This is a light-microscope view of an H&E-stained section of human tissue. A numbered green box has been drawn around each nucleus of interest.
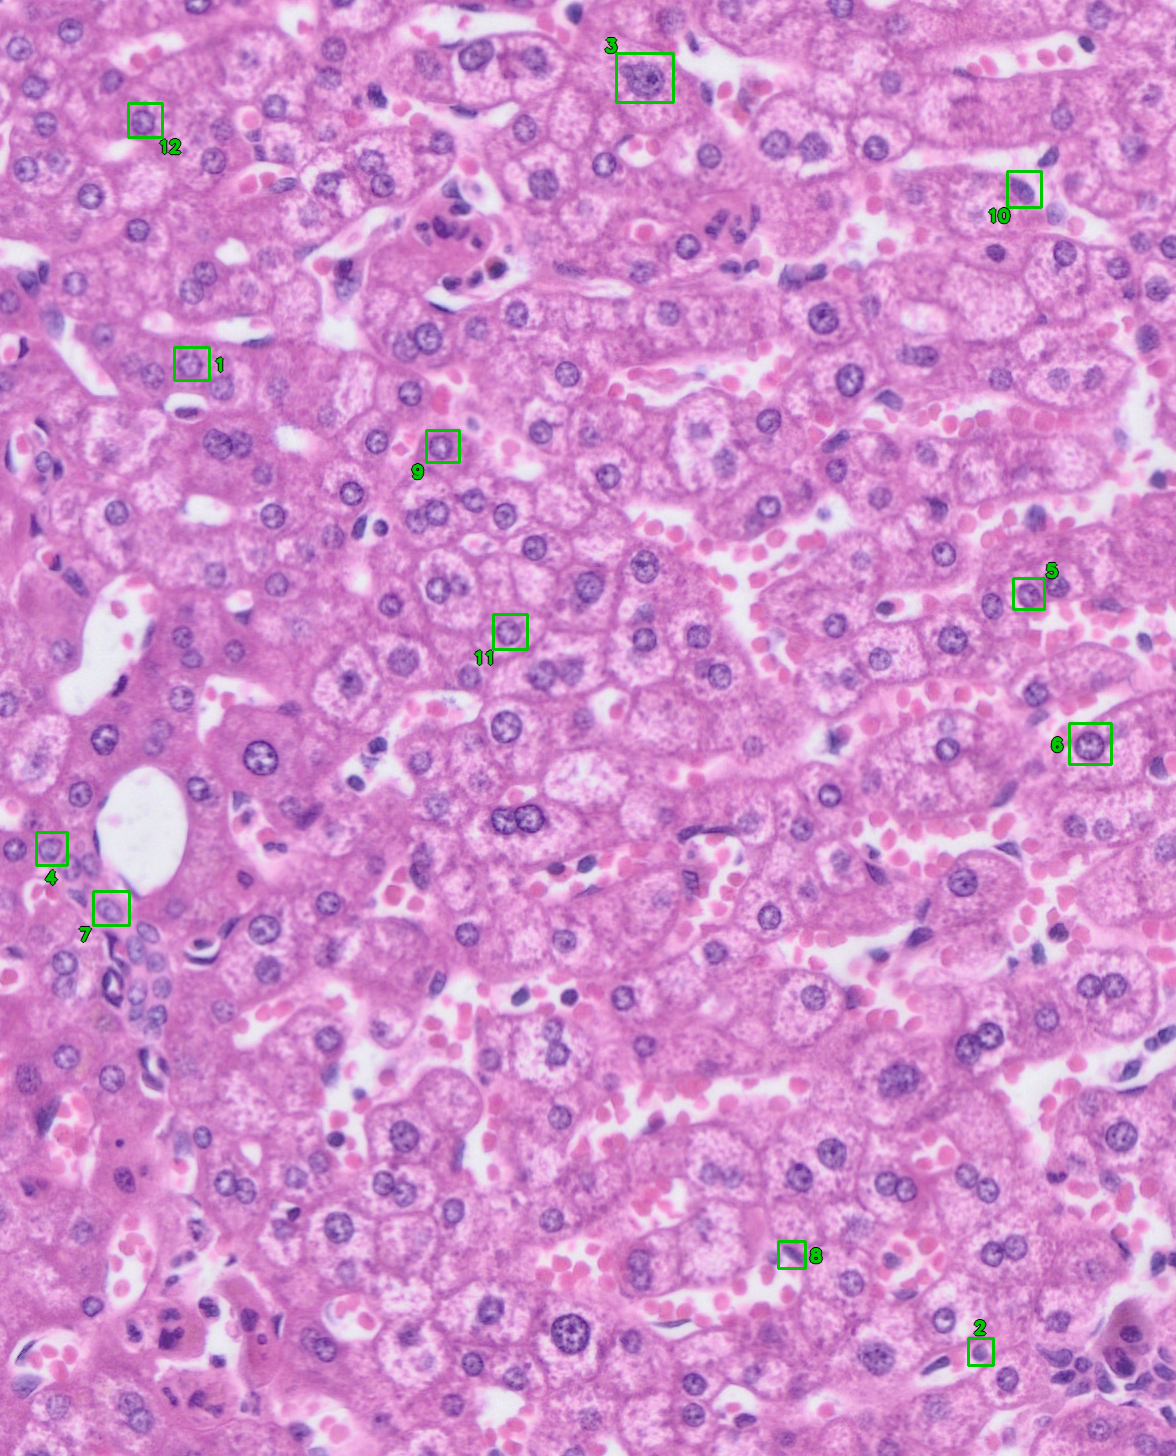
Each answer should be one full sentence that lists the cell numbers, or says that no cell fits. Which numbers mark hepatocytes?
Cells numbered 1, 3, 5, 6, 9, 11 and 12 belong to the group of hepatocytes.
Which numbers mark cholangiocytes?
The cells which carry the numbers 4 and 7 are cholangiocytes.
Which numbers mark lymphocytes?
Nothing but cell 2 is a lymphocyte among the numbered ones.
